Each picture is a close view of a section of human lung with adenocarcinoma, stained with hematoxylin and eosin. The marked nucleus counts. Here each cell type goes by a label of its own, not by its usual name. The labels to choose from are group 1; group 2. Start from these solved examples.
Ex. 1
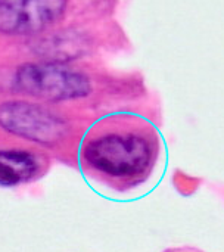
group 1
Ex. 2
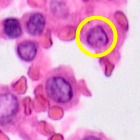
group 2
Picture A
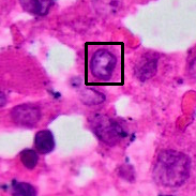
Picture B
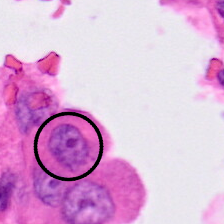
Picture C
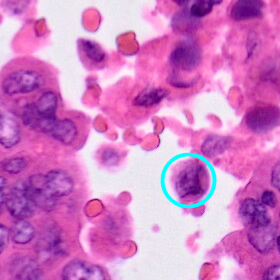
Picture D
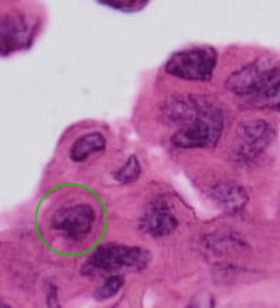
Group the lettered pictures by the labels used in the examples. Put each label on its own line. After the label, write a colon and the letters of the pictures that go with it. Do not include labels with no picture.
group 1: B, C, D
group 2: A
